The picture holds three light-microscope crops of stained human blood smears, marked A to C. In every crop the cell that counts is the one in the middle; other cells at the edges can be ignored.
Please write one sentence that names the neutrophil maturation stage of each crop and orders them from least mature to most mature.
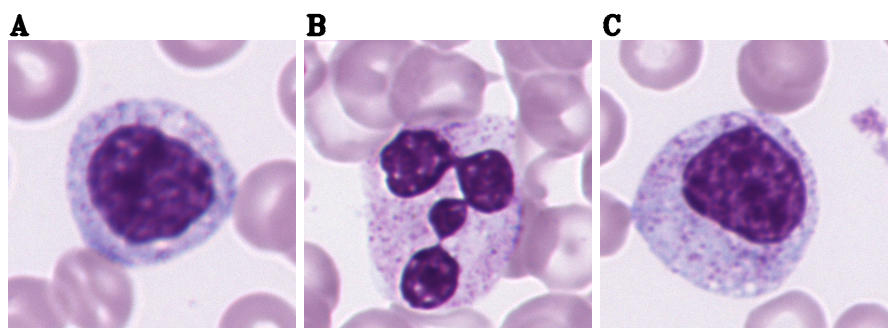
From youngest to most mature, the cells go crop C (a myelocyte), crop A (a metamyelocyte) and crop B (a segmented neutrophil).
